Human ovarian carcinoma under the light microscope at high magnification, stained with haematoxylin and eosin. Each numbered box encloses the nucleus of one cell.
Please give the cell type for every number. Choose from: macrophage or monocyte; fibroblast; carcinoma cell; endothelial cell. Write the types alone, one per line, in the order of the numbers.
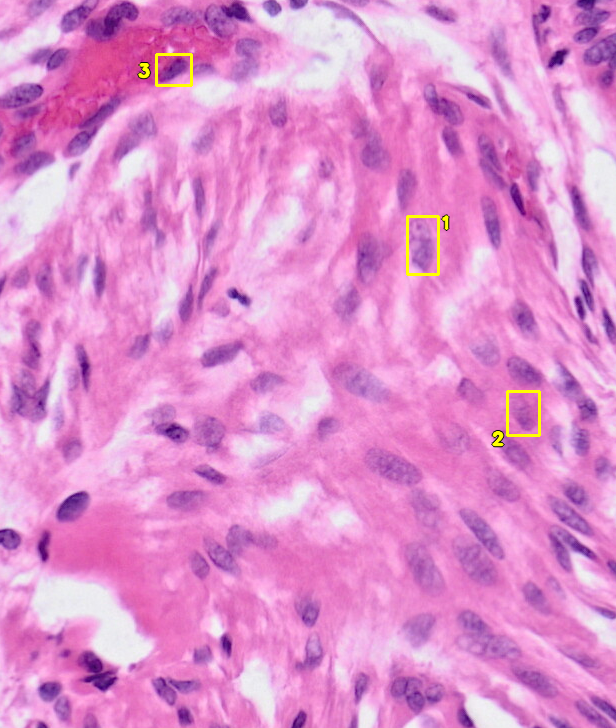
fibroblast
fibroblast
endothelial cell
